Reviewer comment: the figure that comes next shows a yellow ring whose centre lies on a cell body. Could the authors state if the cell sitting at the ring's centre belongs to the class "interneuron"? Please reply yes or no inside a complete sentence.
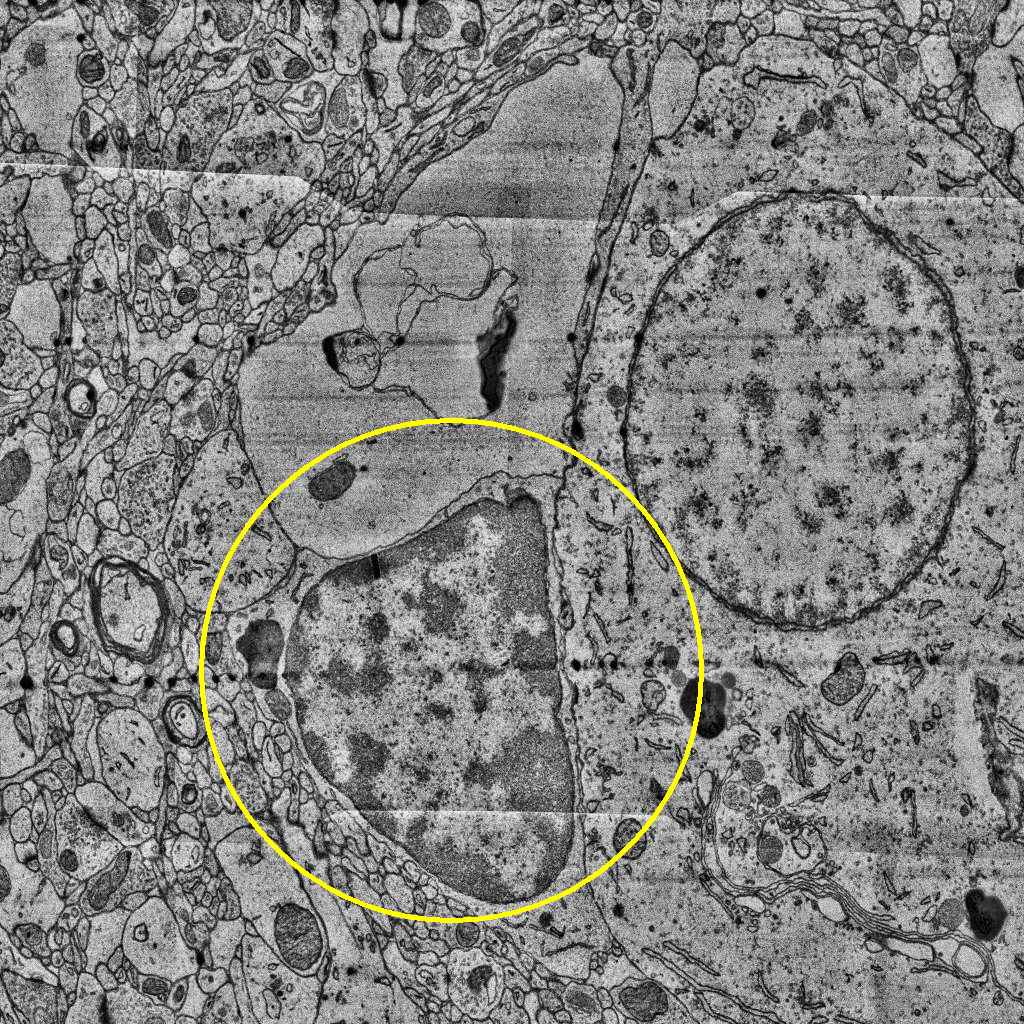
No, in the figure, the cell at the ring's centre belongs to a different class.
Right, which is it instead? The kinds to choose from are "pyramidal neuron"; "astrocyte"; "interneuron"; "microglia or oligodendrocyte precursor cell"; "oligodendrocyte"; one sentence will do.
At the centre of the ring sits a microglial cell or oligodendrocyte precursor cell.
